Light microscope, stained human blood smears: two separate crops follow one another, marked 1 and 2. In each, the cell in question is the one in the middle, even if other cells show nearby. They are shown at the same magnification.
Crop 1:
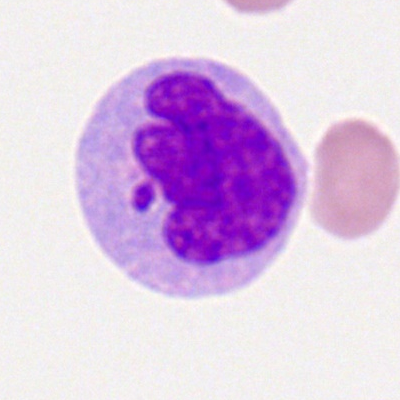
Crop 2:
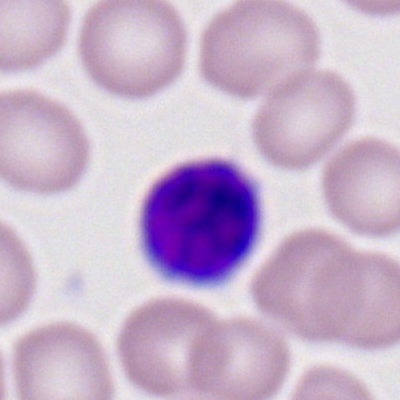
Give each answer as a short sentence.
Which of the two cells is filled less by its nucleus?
In crop 1 the nucleus takes up the smaller part of its cell.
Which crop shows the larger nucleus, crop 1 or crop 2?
Crop 1 shows the larger nucleus; it covers about 2 times the area of the nucleus in crop 2.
